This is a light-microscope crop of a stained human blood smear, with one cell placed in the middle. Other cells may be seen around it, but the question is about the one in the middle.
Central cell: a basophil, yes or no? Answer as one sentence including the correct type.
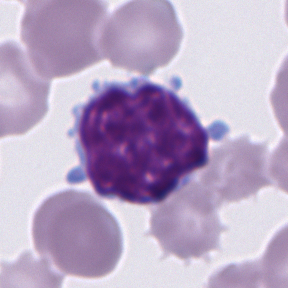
No, what the centre of the crop shows is a typical lymphocyte, not a basophil.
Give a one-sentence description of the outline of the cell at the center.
In outline, the cell is irregular, ragged in stretches or drawn into projections.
